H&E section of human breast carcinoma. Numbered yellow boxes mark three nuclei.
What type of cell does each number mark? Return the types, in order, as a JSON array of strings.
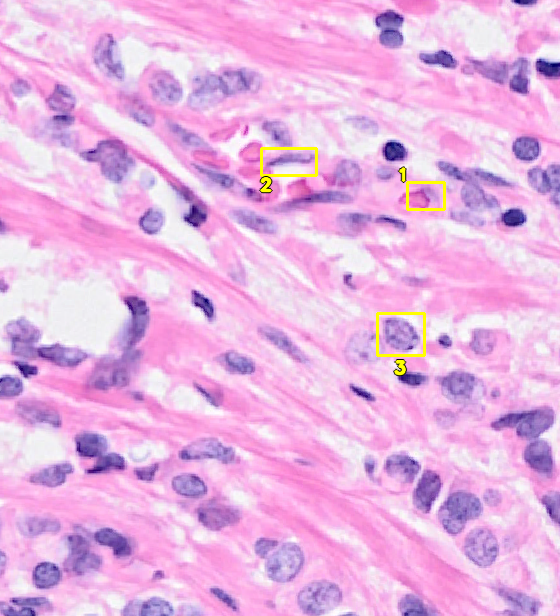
["endothelial cell", "endothelial cell", "carcinoma cell"]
